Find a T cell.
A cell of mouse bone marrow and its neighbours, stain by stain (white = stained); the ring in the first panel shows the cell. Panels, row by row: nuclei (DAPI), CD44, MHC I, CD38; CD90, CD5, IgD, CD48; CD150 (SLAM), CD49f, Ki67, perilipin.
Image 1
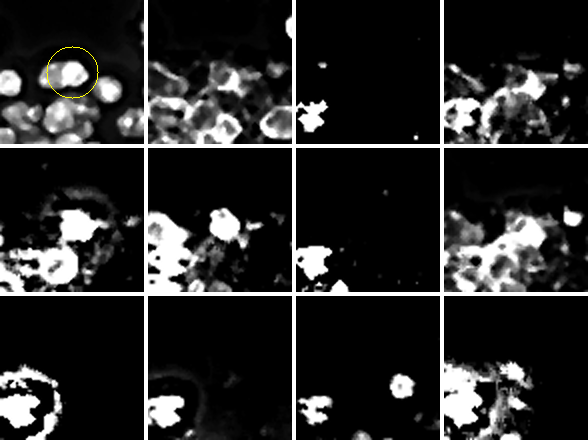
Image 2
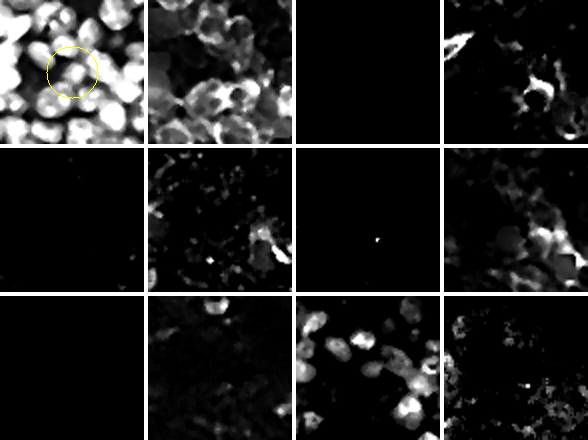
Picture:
1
